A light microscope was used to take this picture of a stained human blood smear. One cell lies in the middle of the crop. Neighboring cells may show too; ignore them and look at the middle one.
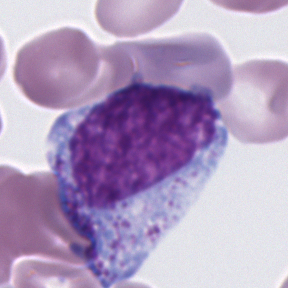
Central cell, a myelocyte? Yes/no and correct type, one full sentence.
Yes, it is a myelocyte that is seen at the centre of the crop.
